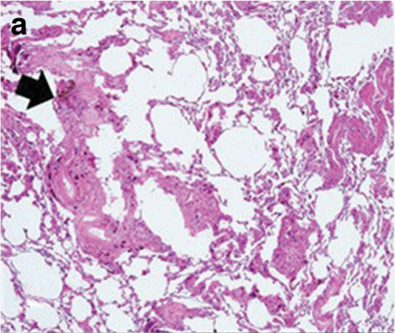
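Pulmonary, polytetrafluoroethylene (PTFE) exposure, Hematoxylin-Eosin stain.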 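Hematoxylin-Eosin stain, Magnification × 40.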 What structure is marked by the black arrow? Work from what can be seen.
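A small compact nodule of denser pink tissue with cells sits among open alveolar spaces. The nodule lies beside a small airway or vessel-like structure. On this evidence: granulomatous micronodular lesions.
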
